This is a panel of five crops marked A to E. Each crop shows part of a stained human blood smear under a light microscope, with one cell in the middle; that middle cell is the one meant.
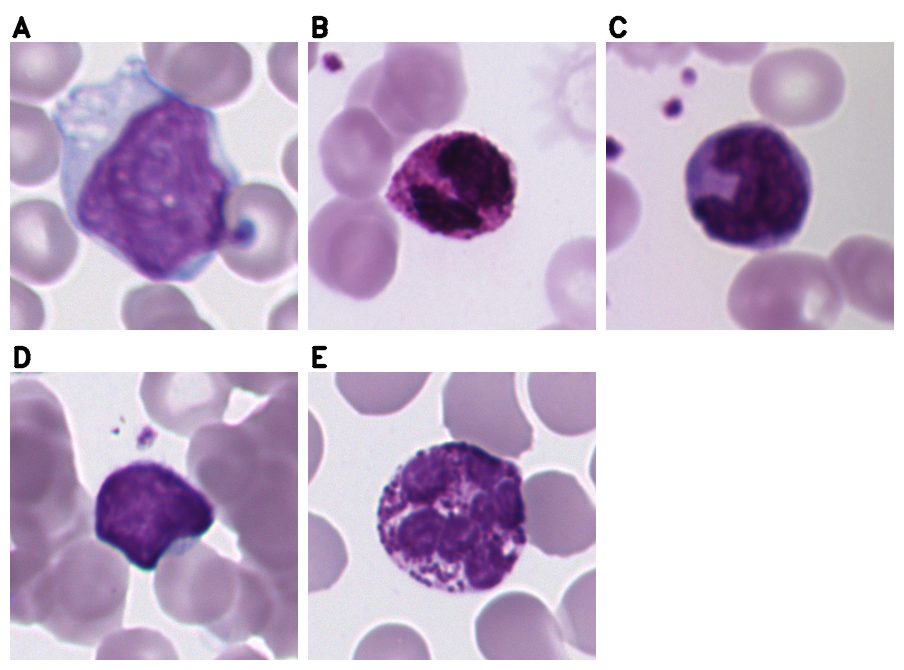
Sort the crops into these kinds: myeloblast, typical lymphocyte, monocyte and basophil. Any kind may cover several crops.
A: myeloblast
B: basophil
C: monocyte
D: typical lymphocyte
E: basophil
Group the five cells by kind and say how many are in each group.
basophil: 2
myeloblast: 1
monocyte: 1
typical lymphocyte: 1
